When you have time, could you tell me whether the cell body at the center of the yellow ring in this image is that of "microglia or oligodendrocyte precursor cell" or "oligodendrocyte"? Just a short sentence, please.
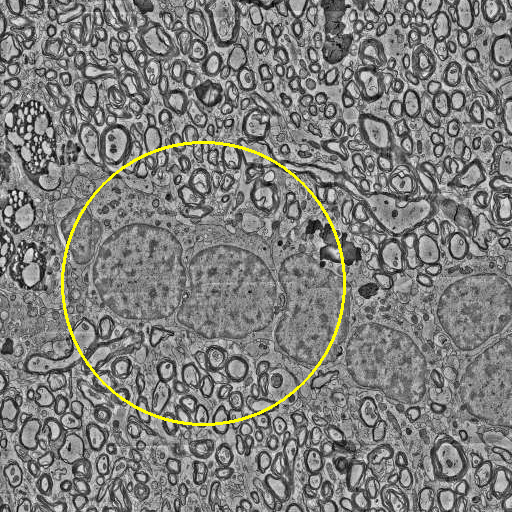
The cell body at the center of the ring is that of an oligodendrocyte.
